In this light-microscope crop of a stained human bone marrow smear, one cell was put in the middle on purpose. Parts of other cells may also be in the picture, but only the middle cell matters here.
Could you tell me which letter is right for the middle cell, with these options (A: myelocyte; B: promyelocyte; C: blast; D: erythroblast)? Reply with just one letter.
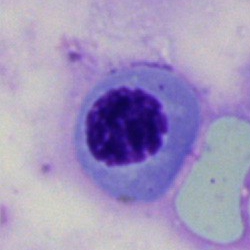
D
